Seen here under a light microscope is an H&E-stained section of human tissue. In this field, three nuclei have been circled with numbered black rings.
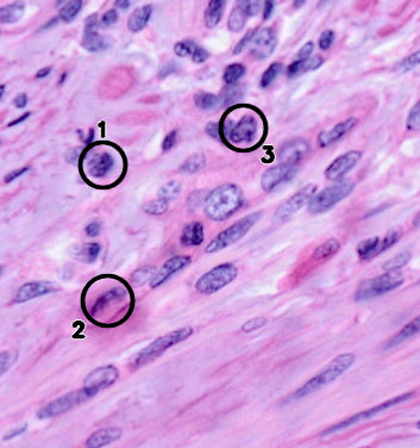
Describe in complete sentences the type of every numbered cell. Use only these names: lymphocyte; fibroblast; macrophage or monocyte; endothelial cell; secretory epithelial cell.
Cell 1 is a lymphocyte, cell 2 is an endothelial cell and cell 3 is a lymphocyte.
